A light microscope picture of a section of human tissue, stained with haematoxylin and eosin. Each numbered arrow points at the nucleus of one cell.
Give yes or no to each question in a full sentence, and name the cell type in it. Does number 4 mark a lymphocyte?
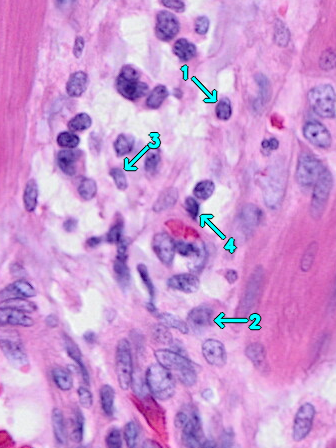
Yes, the cell bearing the number 4 is a lymphocyte.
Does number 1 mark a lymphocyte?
Yes, the cell given number 1 is a lymphocyte.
